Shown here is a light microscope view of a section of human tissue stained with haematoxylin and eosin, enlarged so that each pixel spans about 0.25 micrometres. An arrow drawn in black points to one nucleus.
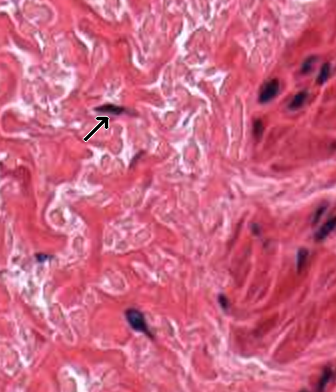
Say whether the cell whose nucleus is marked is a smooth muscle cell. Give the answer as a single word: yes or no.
no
